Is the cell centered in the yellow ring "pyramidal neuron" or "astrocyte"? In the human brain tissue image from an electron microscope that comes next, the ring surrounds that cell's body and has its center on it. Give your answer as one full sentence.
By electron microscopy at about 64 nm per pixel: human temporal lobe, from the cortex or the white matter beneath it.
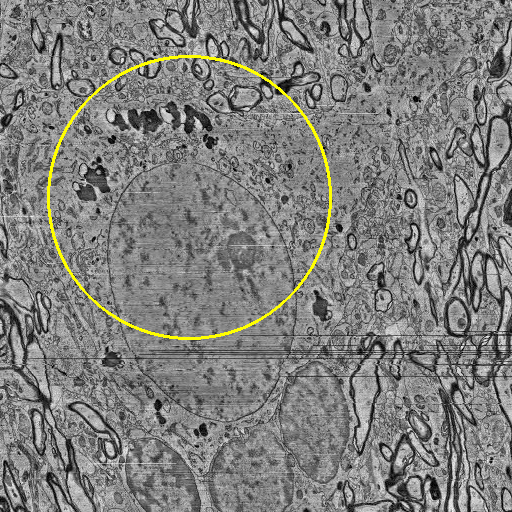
The cell at the center of the yellow ring is a pyramidal neuron in the micrograph.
